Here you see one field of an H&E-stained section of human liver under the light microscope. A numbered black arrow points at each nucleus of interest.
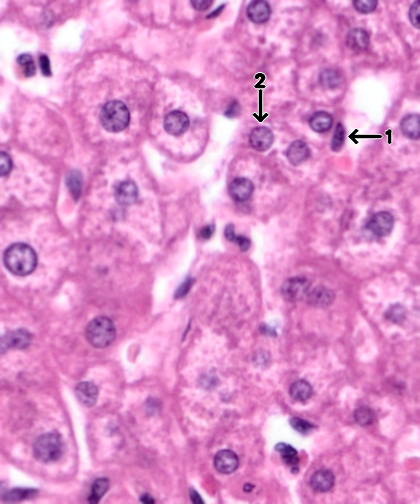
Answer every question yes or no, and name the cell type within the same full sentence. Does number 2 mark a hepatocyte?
Yes, the cell with the number 2 is a hepatocyte.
